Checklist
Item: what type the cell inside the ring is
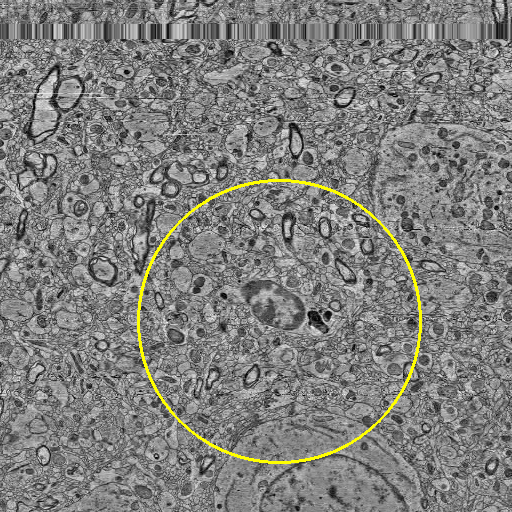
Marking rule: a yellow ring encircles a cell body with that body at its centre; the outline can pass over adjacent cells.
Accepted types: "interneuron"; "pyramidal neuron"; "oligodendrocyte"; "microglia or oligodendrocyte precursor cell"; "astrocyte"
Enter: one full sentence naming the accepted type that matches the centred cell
The entry is that a microglial cell or oligodendrocyte precursor cell lies at the centre of the yellow ring.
